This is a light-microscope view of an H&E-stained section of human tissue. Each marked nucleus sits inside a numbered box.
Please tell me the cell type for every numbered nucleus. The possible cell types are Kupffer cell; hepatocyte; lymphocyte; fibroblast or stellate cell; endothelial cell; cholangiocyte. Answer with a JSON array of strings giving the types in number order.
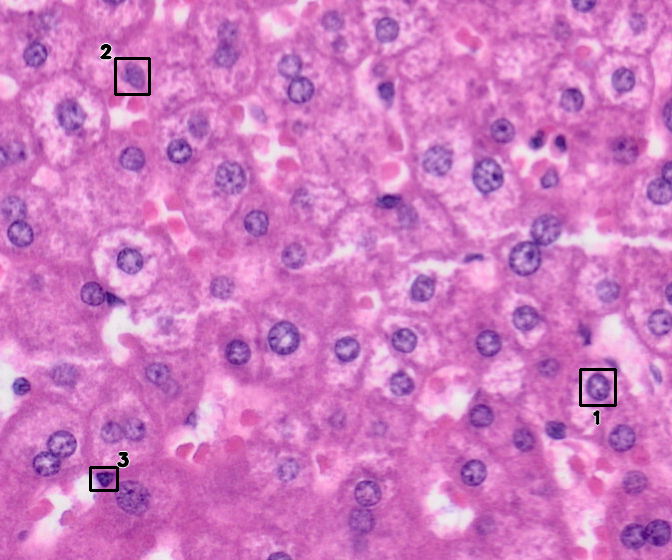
["hepatocyte", "endothelial cell", "fibroblast or stellate cell"]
